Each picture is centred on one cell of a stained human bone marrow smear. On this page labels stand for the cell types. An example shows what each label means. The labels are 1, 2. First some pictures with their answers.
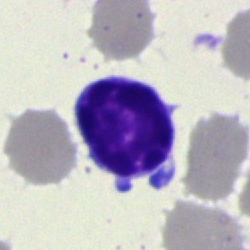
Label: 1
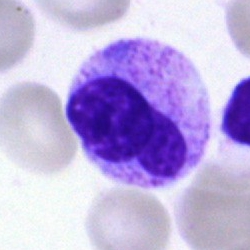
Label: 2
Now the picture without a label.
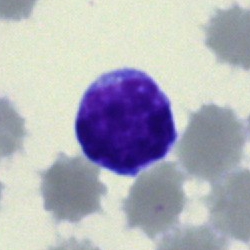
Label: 1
